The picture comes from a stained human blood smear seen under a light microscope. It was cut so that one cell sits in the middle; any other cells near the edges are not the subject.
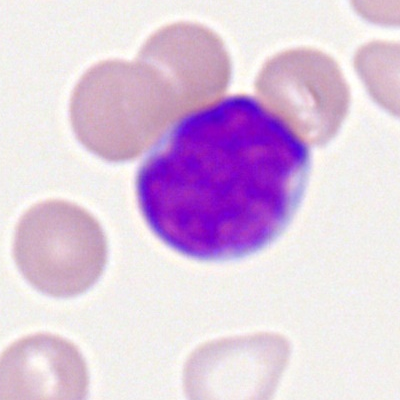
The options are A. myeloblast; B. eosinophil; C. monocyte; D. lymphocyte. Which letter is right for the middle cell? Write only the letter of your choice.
A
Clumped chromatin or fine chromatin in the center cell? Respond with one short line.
The chromatin within its nucleus forms coarse clumps.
